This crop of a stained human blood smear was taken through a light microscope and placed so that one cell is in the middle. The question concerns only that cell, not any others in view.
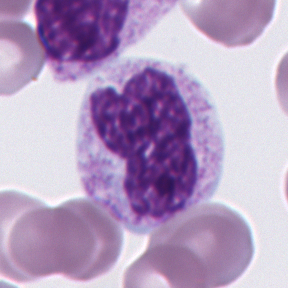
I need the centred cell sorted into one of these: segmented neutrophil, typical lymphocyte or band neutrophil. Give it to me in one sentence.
Among the cells in view, the one in the middle is a segmented neutrophil.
